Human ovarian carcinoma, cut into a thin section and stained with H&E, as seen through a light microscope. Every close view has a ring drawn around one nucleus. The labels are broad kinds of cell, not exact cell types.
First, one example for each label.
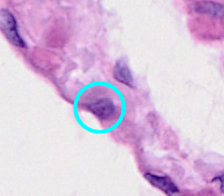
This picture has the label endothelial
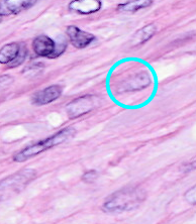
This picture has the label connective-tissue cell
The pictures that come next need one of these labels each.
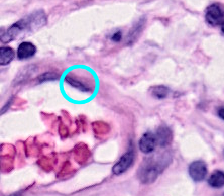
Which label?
endothelial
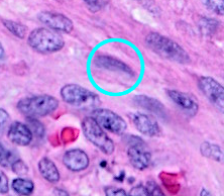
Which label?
connective-tissue cell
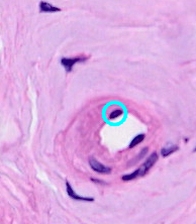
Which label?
endothelial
